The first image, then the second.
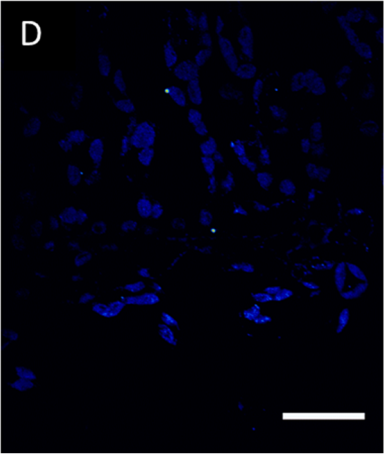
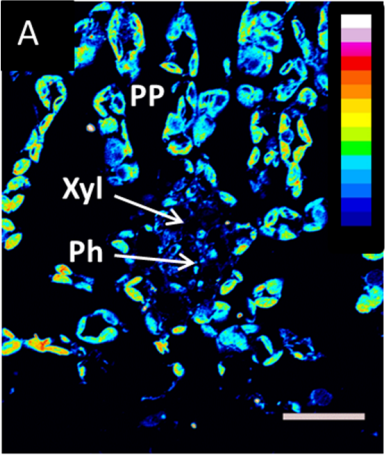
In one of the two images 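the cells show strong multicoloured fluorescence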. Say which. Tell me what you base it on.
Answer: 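First image: cell outlines are only faintly visible in dim dark blue on black. Second image: cells glow blue and green with yellow and red patches.
Hence: the second image.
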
